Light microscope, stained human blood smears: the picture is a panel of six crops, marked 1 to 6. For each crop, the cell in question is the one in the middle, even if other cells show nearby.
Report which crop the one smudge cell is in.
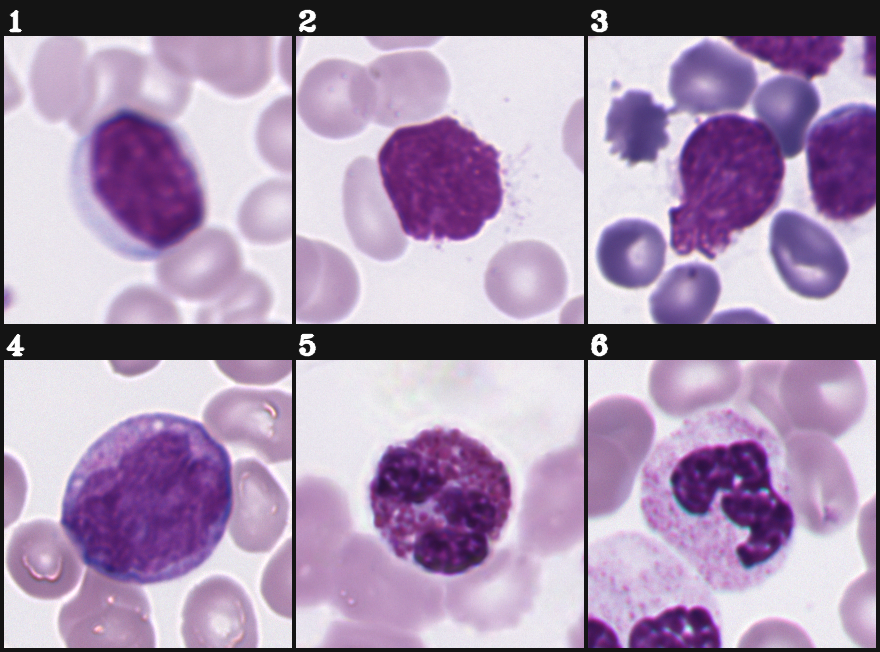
2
